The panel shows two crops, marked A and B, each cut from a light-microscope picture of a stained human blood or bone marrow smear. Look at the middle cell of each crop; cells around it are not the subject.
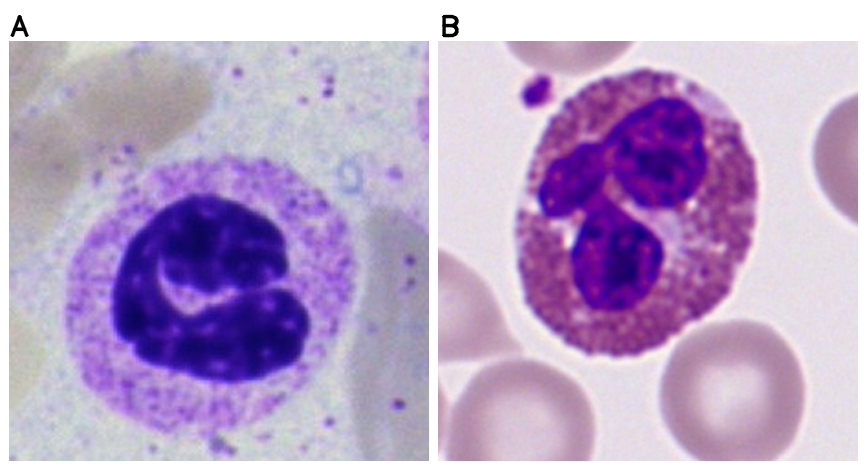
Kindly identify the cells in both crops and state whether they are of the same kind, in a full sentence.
No, what crop A shows is a neutrophil, and what crop B shows is an eosinophil.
